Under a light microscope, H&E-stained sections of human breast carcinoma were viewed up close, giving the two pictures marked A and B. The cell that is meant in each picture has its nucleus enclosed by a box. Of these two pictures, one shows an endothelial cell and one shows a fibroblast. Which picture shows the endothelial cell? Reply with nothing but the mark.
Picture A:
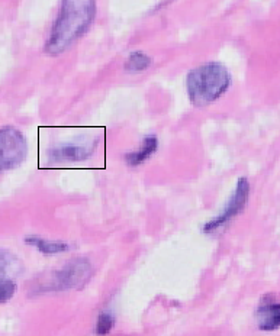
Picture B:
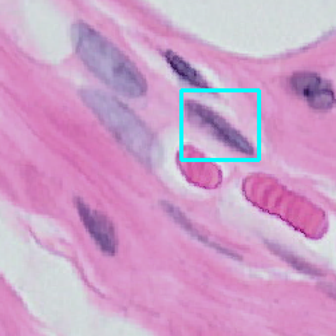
B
